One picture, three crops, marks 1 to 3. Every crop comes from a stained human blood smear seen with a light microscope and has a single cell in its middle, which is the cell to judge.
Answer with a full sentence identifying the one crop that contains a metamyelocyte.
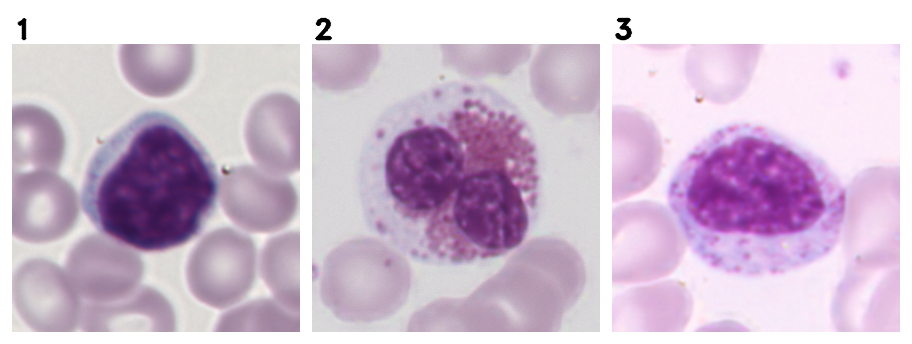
Among all the crops given here, the one with a metamyelocyte is crop 3.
